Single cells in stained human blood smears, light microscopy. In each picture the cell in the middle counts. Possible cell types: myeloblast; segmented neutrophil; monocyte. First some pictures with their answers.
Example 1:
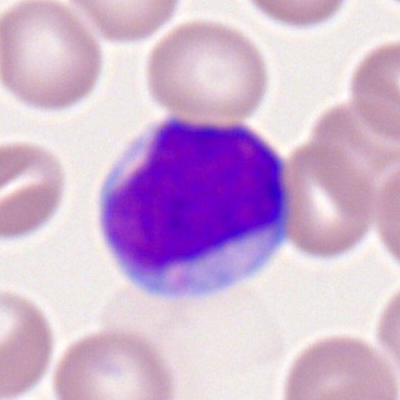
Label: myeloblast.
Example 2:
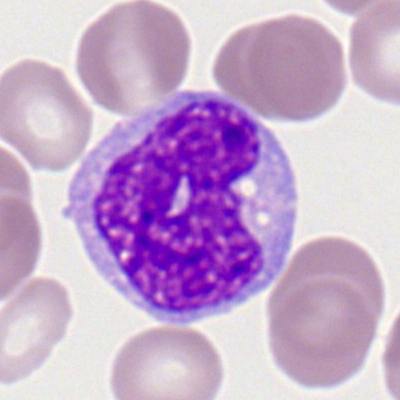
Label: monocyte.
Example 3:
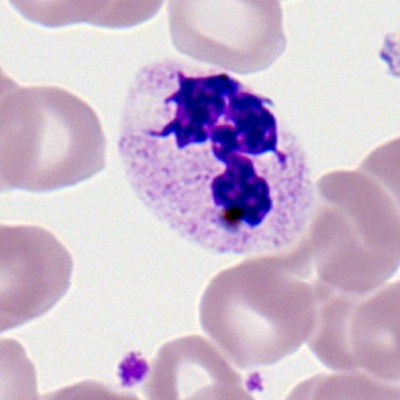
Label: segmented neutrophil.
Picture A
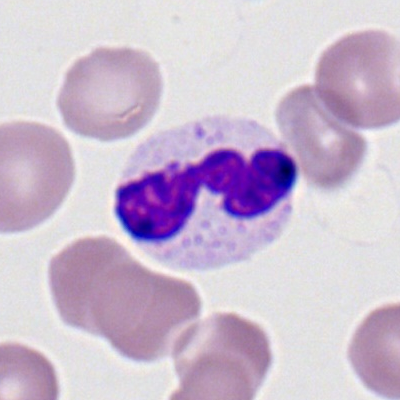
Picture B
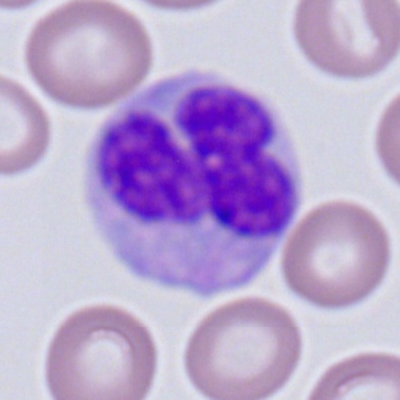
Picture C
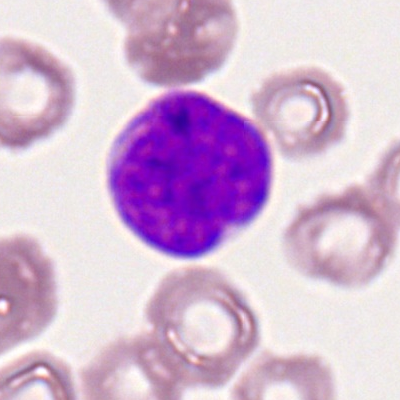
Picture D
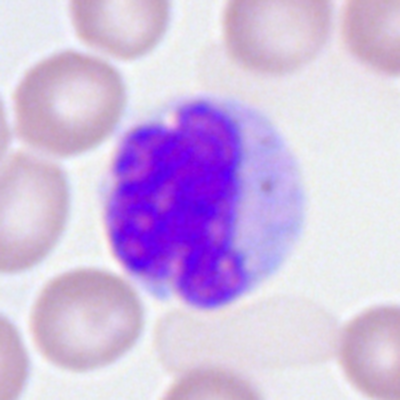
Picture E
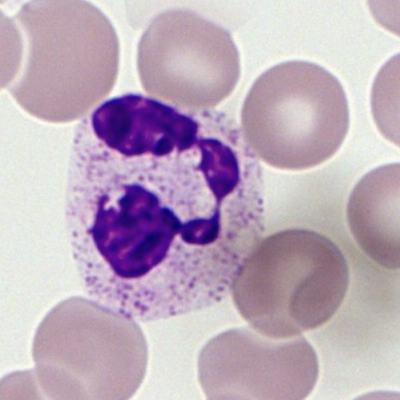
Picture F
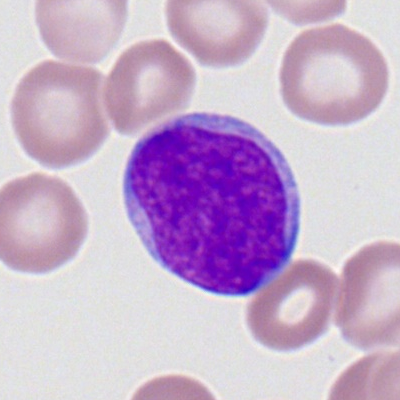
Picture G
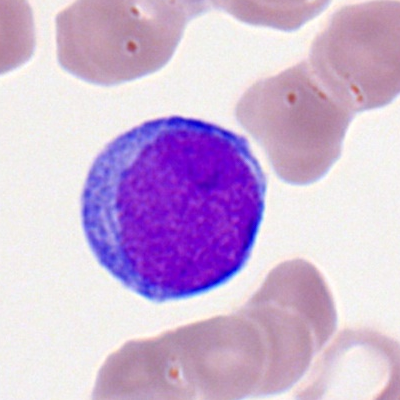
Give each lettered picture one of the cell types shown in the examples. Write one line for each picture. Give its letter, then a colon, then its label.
A: segmented neutrophil.
B: monocyte.
C: myeloblast.
D: monocyte.
E: segmented neutrophil.
F: myeloblast.
G: myeloblast.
